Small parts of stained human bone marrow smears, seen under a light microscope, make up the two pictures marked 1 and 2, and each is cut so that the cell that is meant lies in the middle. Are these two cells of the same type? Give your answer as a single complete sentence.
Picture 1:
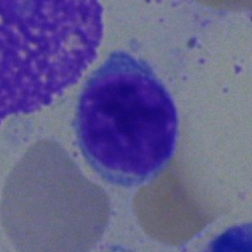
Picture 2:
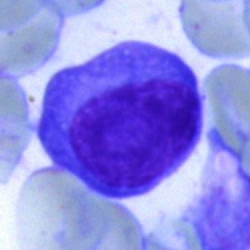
No, picture 1 shows a lymphocyte and picture 2 shows a plasma cell.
